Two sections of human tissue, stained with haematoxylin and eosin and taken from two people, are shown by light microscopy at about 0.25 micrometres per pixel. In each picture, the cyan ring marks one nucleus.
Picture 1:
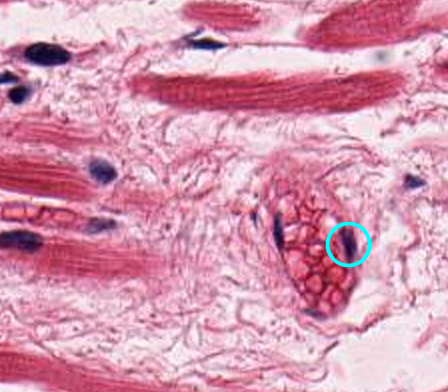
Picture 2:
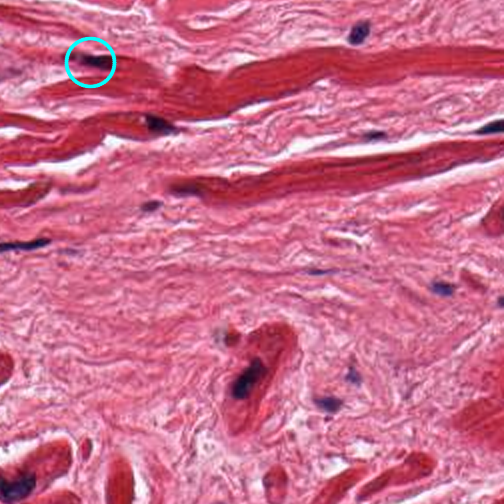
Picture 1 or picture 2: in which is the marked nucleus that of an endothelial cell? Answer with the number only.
1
